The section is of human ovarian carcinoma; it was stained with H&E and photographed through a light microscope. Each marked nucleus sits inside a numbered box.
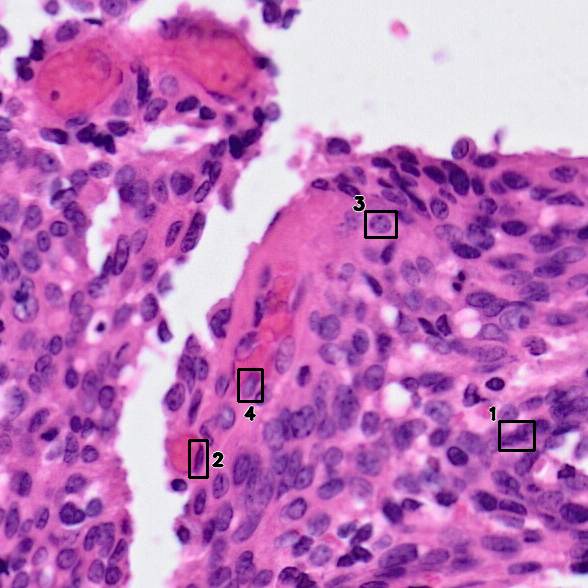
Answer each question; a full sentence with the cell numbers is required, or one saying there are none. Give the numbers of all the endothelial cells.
Cells numbered 2 and 4 belong to the group of endothelial cells.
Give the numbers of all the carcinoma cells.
Among the marked cells, a carcinoma cell is found only at number 1.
